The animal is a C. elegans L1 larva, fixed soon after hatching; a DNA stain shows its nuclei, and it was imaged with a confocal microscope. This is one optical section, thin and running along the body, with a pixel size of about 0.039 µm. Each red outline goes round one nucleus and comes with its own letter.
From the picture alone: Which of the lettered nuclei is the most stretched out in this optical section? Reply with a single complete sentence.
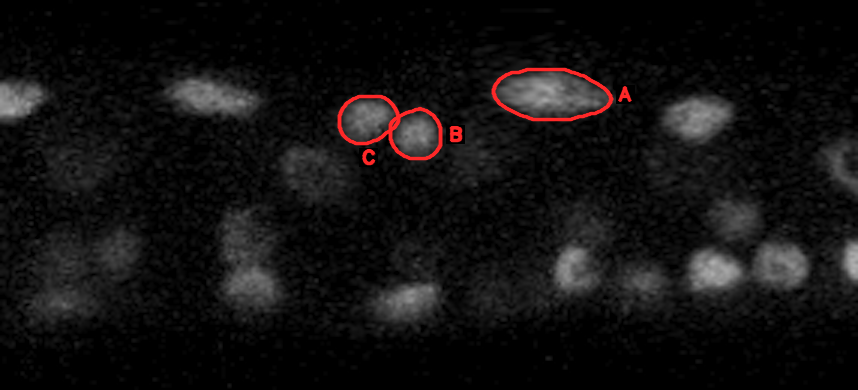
The most elongated nucleus is A.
